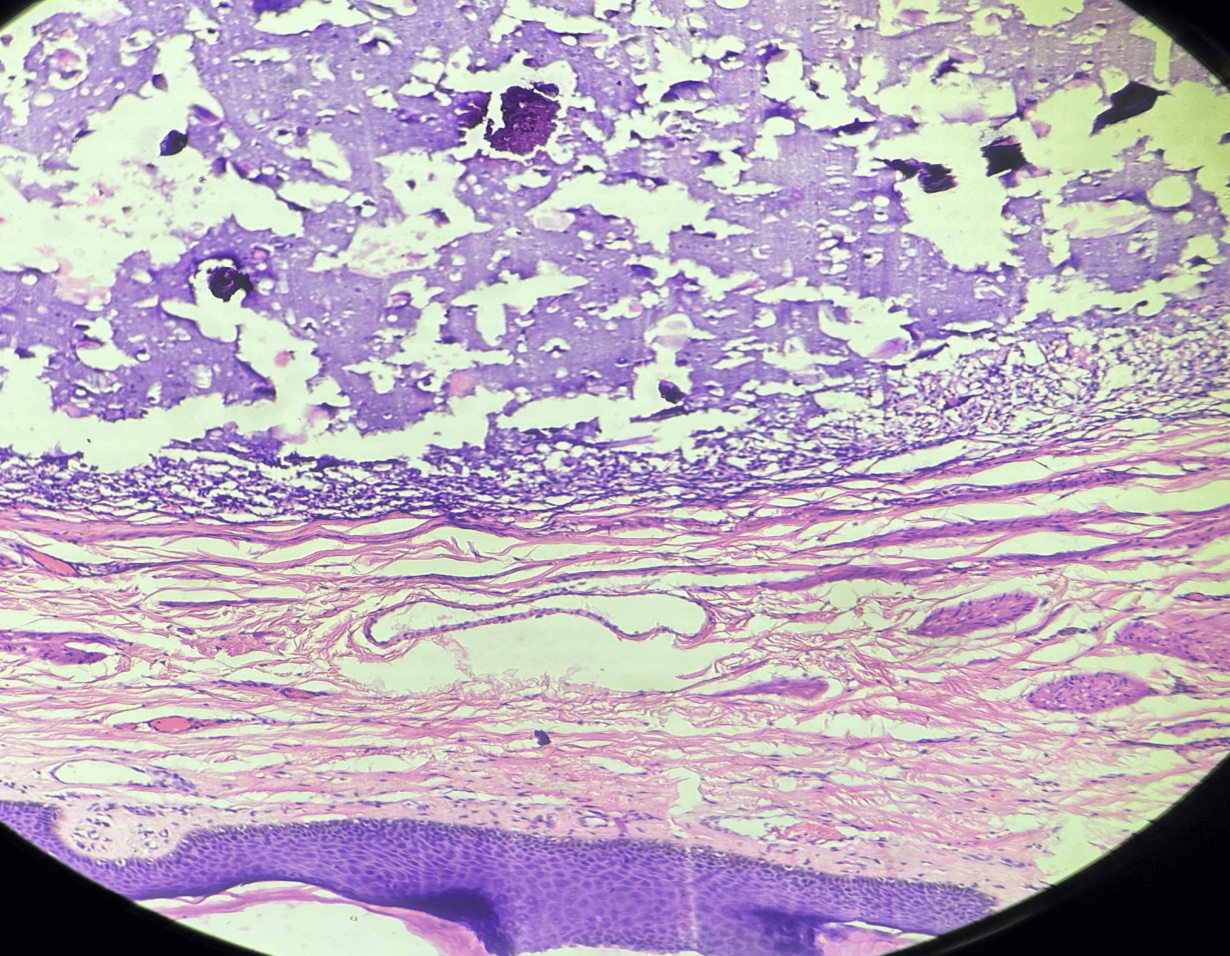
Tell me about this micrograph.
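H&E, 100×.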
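This is a section of skin with subepithelial stroma containing large deposits of basophilic calcium. At the bottom lies a stratified squamous epithelium, deep purple and several cells thick. Above it the stroma is made of loose, wavy pink collagen fibres with small vessels, a thin-walled dilated space and several small pink bundles. The upper half of the field is taken up by large masses of pale to deep purple amorphous material, broken up by many clefts, with scattered darker purple-black clumps.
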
